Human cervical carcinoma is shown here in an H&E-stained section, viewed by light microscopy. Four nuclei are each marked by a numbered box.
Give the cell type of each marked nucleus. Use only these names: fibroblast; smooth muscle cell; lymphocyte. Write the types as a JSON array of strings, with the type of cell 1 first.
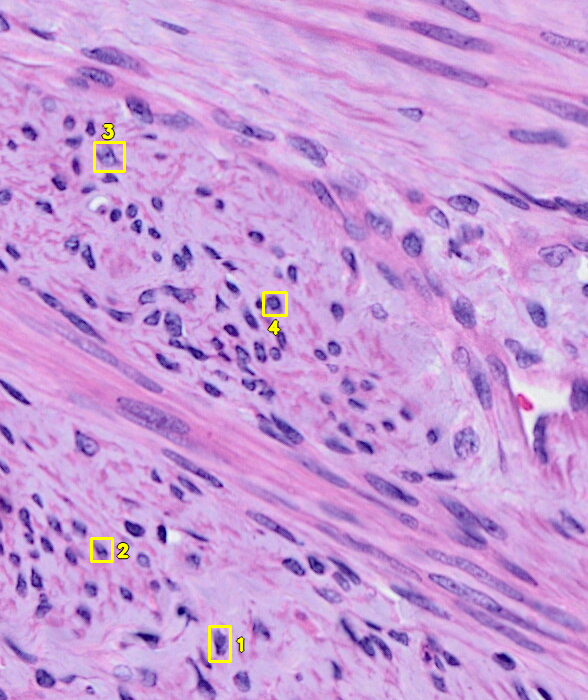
["fibroblast", "smooth muscle cell", "smooth muscle cell", "smooth muscle cell"]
